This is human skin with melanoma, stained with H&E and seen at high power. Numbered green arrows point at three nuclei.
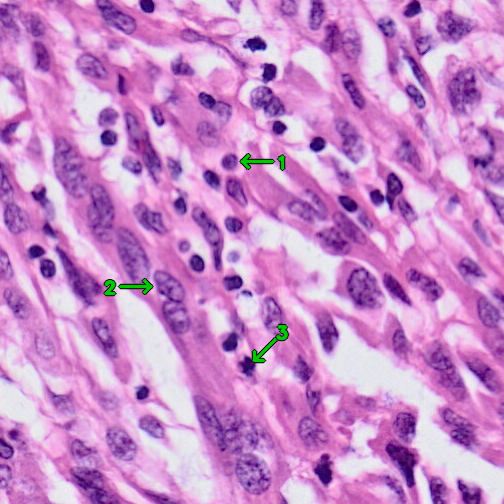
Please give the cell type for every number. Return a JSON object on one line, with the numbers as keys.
{"1": "lymphocyte", "2": "melanoma cell", "3": "lymphocyte"}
